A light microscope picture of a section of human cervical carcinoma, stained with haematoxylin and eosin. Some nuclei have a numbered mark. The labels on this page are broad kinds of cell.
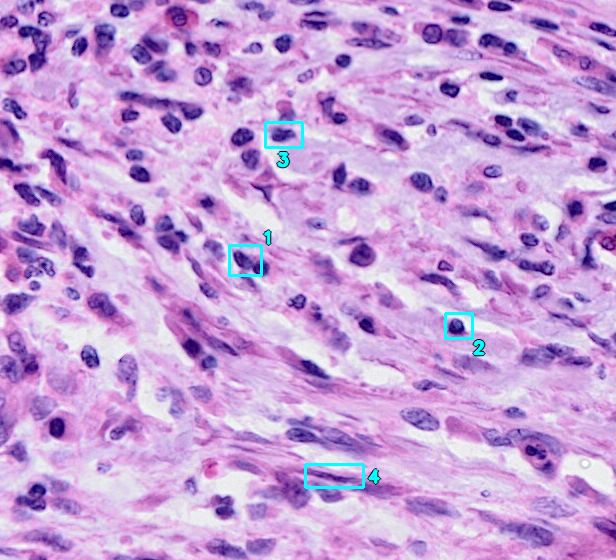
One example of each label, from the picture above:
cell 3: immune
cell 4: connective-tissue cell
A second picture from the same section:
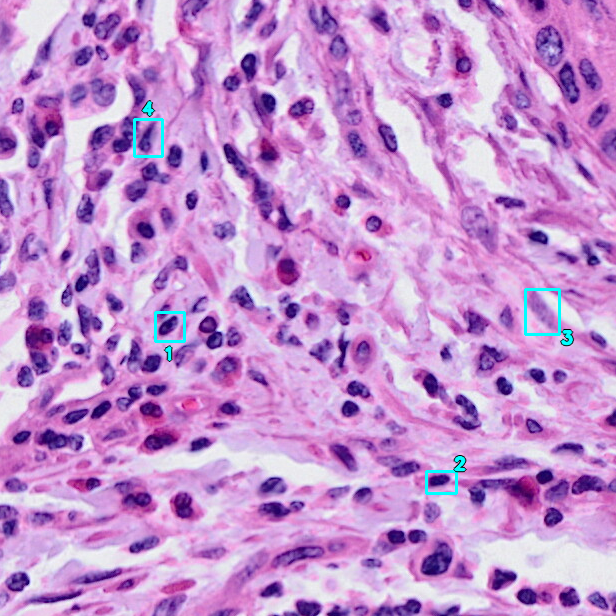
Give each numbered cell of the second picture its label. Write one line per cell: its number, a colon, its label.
1: immune
2: immune
3: connective-tissue cell
4: immune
